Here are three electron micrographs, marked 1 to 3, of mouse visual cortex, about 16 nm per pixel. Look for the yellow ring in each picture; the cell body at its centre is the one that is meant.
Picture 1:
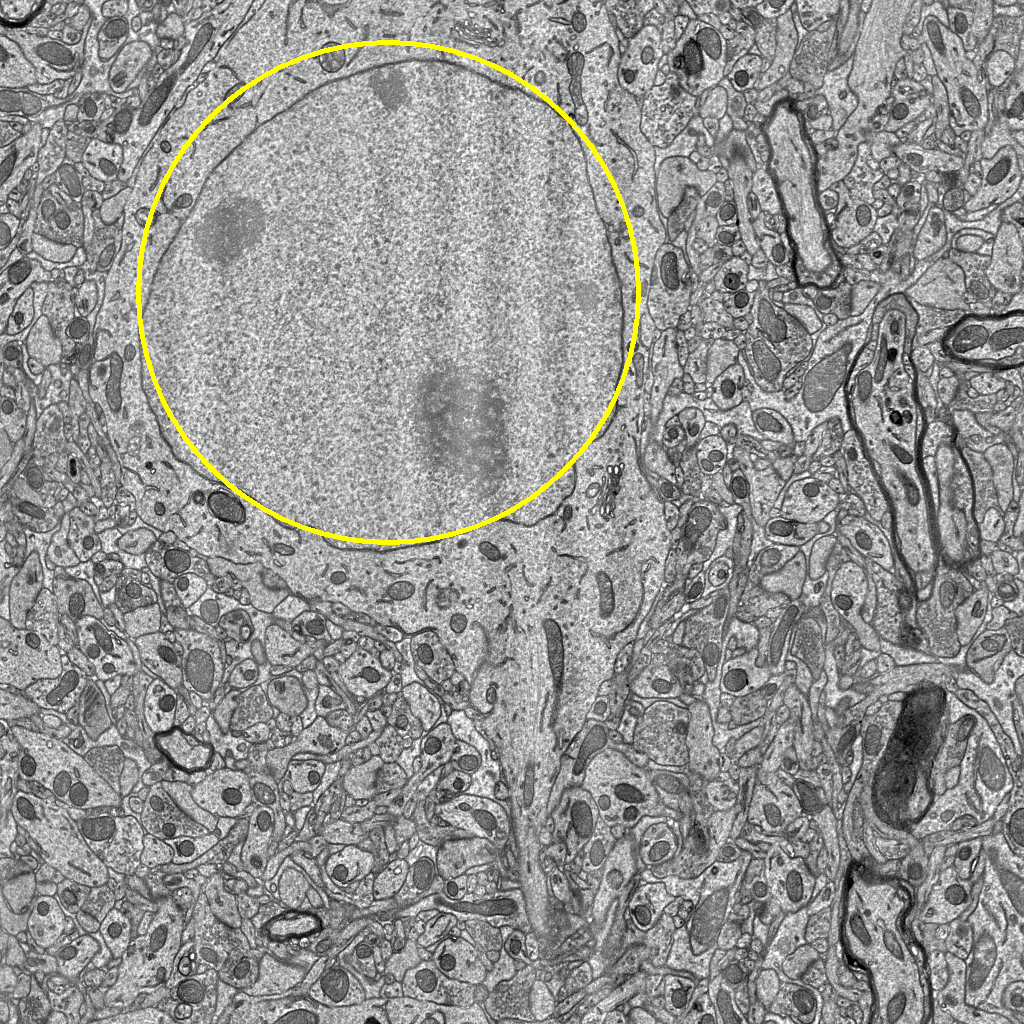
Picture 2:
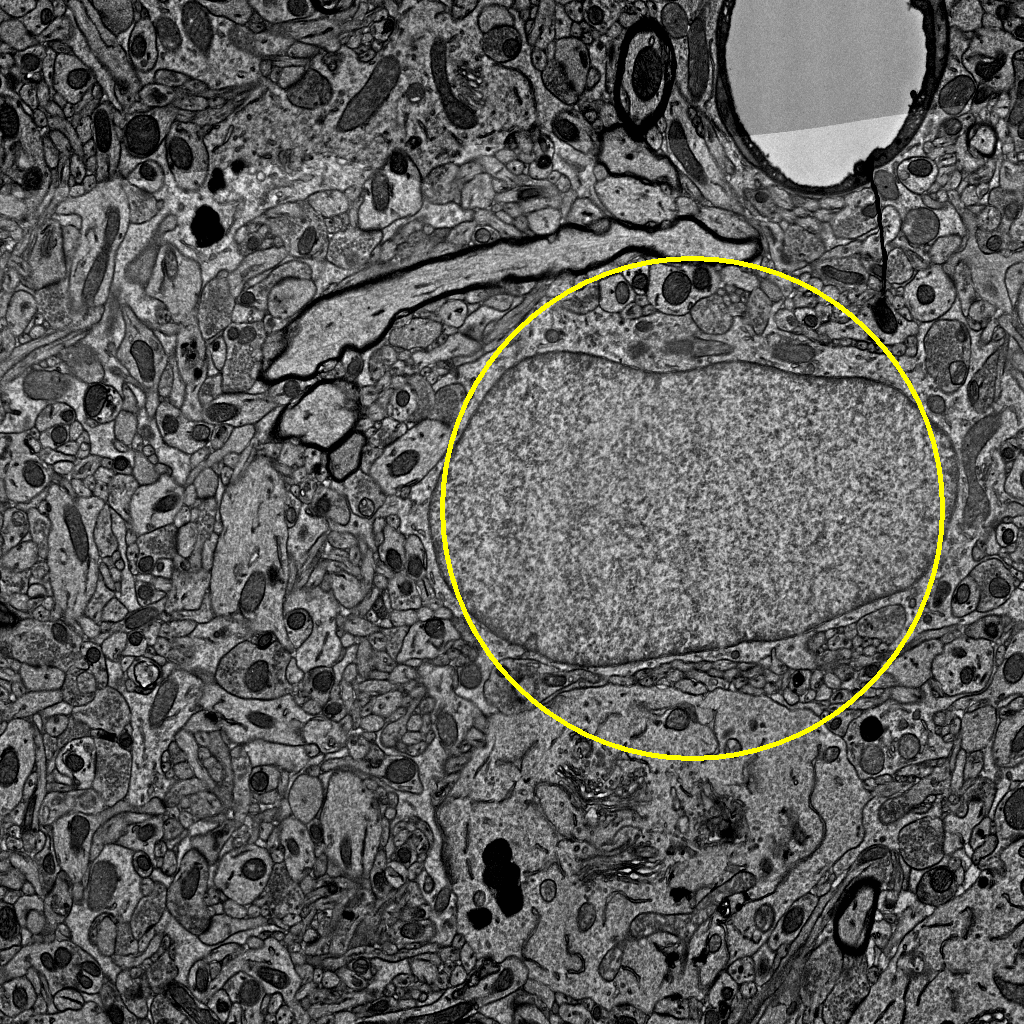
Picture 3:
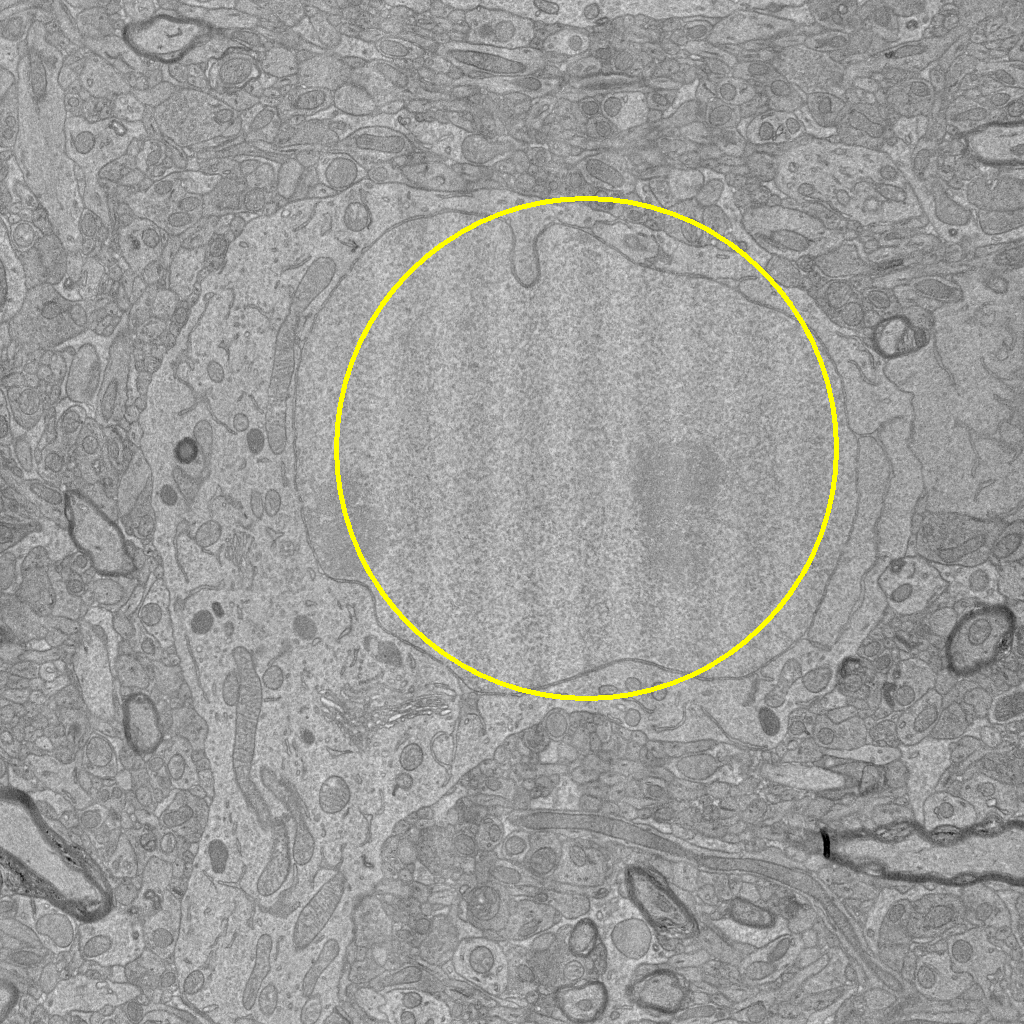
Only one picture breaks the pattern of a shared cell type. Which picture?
Unlike the rest, which show excitatory neurons, picture 2 shows an astrocyte.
